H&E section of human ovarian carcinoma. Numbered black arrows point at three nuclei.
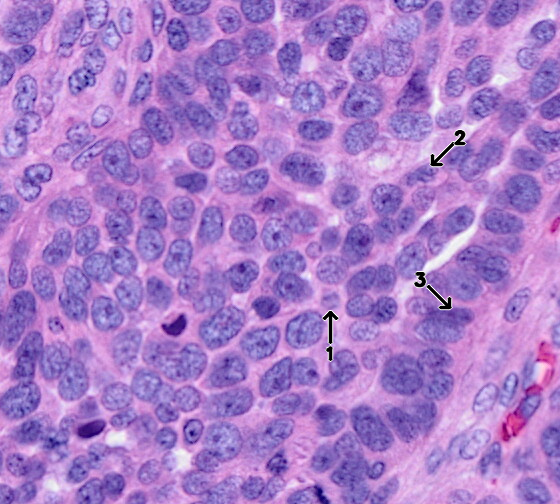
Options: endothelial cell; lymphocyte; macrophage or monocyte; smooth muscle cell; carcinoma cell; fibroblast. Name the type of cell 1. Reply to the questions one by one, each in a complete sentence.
The cell marked with number 1 is a macrophage or monocyte.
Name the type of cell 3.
The identity of cell 3 is that of a carcinoma cell.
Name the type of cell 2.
The one labeled 2 is a macrophage or monocyte, to put it simply.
